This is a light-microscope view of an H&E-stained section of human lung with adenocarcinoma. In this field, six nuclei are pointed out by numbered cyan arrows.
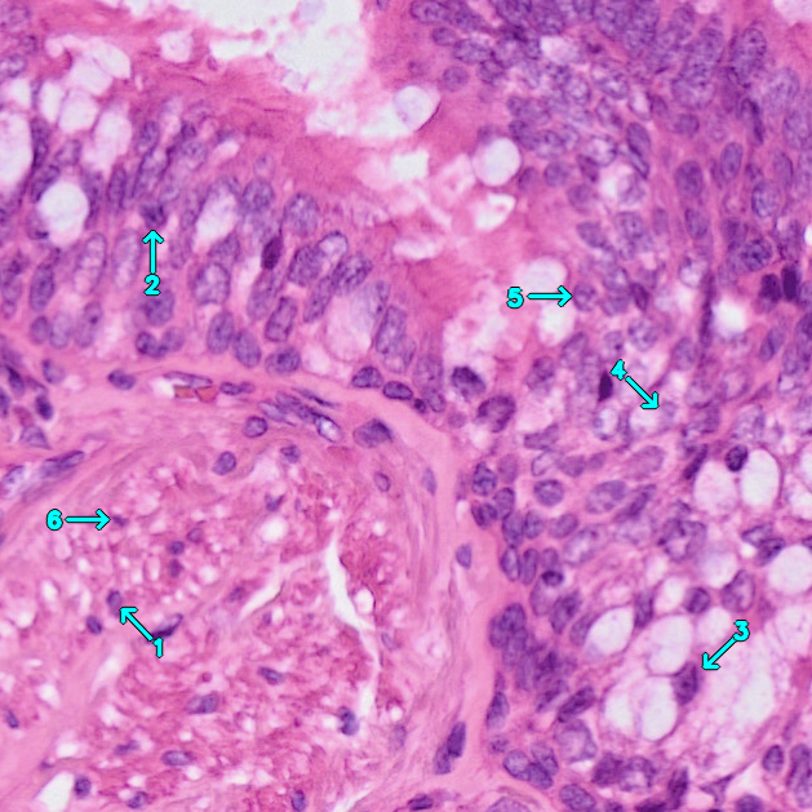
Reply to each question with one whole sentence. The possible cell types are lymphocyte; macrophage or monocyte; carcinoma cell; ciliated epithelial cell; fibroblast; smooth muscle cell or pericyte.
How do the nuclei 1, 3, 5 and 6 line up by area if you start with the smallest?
From smallest to largest, the order is 6, 1, 5, 3.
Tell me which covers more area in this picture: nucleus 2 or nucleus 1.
It is nucleus 2, which covers about 2 times the area of nucleus 1.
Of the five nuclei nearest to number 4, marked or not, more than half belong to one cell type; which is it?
The majority of the five nuclei closest to number 4 belong to ciliated epithelial cells.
